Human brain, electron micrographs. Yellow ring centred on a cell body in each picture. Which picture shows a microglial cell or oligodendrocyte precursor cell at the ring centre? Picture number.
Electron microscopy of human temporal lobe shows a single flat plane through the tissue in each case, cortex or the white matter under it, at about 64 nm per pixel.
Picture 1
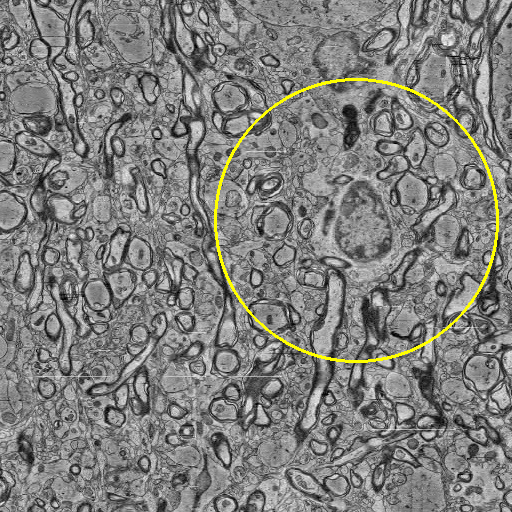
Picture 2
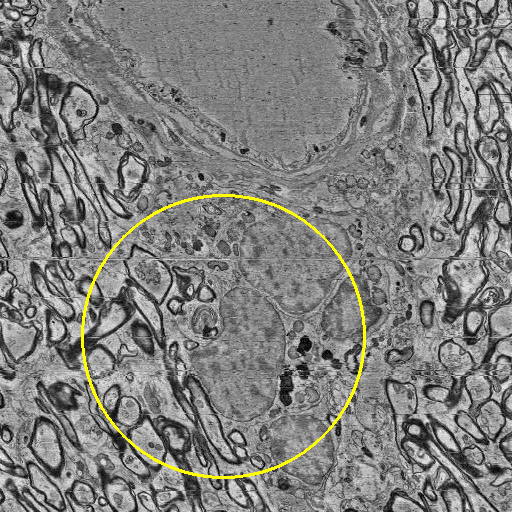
1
